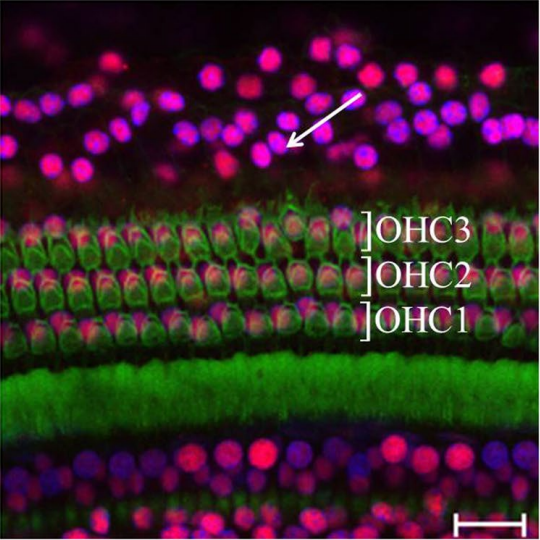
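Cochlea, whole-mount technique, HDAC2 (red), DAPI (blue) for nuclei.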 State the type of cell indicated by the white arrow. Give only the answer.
Hensen cells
